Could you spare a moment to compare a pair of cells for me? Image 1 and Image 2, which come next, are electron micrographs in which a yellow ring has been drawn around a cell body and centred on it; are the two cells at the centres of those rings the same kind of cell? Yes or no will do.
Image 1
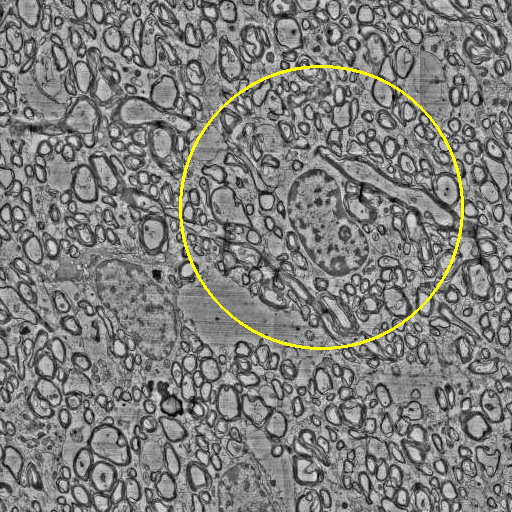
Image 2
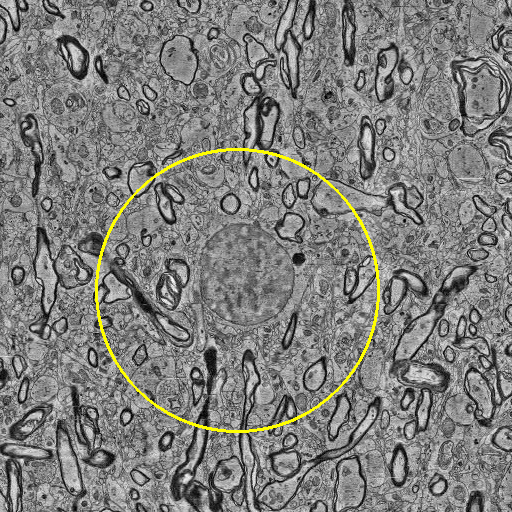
no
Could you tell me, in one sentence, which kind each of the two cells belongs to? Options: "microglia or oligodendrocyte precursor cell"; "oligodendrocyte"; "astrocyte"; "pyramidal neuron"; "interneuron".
At the centre of the first ring sits a microglial cell or oligodendrocyte precursor cell, and at the centre of the second sits an oligodendrocyte.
